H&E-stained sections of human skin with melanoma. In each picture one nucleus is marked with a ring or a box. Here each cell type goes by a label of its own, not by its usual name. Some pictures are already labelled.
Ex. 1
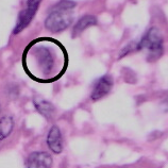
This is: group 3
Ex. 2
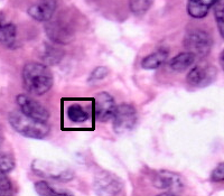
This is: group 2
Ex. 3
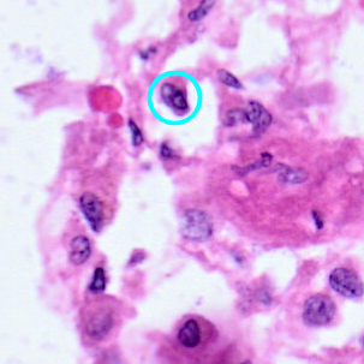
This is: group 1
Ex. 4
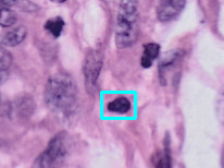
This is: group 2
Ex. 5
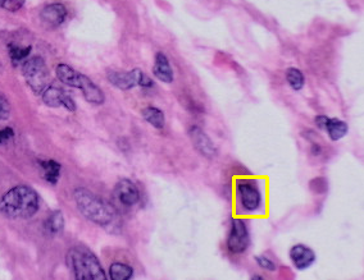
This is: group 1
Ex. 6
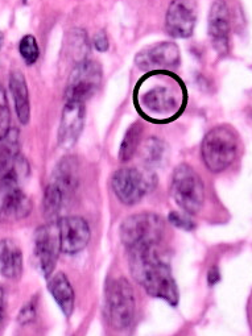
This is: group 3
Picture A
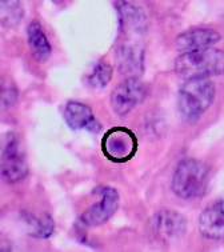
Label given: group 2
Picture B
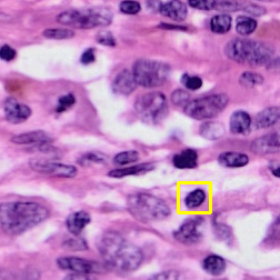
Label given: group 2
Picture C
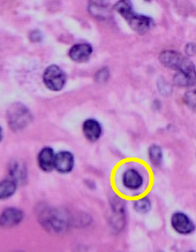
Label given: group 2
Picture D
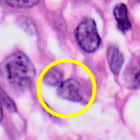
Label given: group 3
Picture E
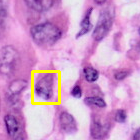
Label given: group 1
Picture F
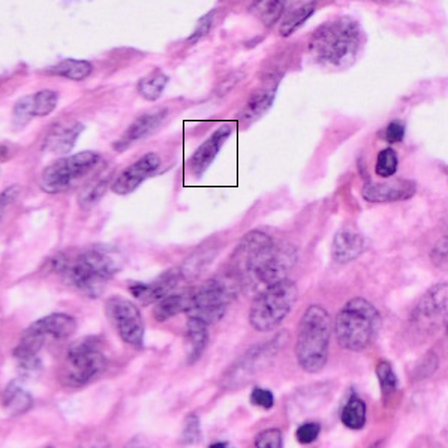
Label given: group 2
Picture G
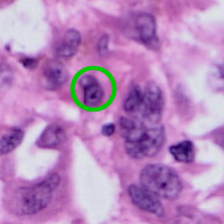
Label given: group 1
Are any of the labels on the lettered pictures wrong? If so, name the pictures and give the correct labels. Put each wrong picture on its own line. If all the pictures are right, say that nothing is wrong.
F: not group 2 but group 3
